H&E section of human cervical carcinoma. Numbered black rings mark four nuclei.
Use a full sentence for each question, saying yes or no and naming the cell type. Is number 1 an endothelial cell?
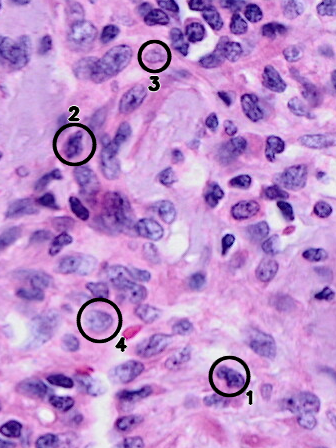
No, cell 1 counts as a lymphocyte rather than as an endothelial cell.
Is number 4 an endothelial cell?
Yes, the marked cell with number 4 is an endothelial cell.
